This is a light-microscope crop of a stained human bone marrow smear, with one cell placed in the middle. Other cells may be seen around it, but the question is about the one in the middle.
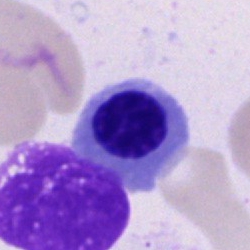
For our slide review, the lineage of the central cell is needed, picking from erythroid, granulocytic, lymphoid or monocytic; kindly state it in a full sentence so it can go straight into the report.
Regarding its lineage, the centered cell is erythroid.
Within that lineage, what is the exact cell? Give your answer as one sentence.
Answering briefly, the cell in the middle is an erythroblast.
